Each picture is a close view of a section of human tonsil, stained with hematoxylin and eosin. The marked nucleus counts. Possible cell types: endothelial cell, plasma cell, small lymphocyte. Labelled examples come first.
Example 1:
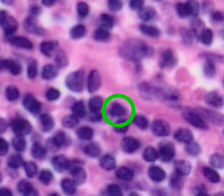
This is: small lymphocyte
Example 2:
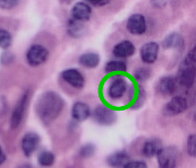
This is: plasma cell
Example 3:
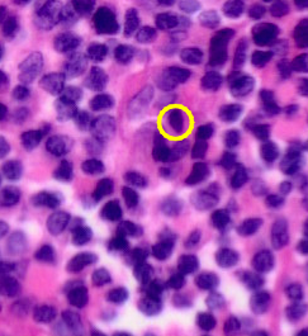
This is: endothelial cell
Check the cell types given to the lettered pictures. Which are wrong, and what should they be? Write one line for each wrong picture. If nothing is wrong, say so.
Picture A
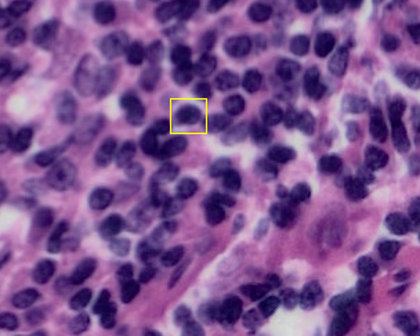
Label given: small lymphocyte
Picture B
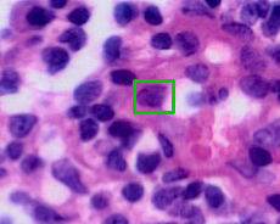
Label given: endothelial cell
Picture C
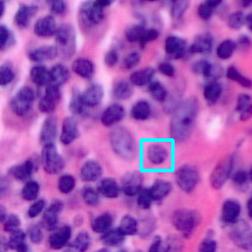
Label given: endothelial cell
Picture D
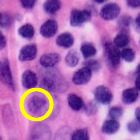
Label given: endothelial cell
Every label is right.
